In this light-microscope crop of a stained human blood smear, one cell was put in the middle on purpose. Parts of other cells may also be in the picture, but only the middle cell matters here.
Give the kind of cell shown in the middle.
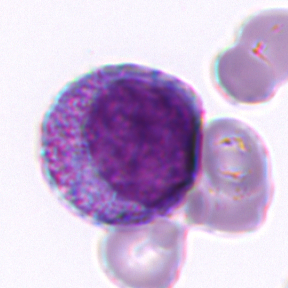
myelocyte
